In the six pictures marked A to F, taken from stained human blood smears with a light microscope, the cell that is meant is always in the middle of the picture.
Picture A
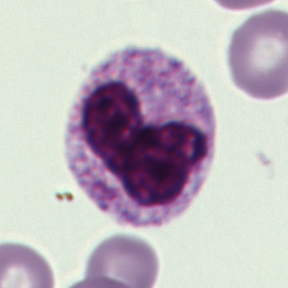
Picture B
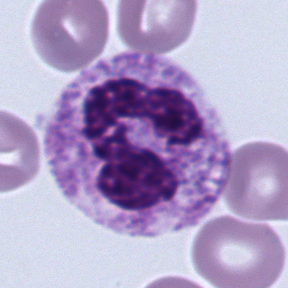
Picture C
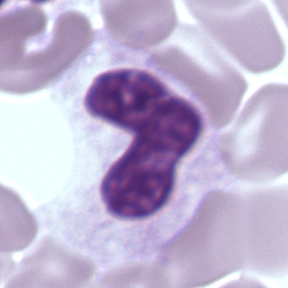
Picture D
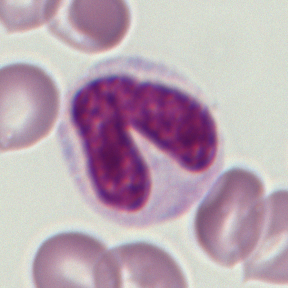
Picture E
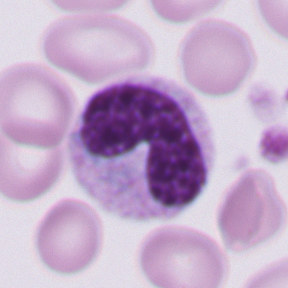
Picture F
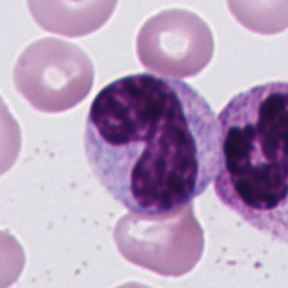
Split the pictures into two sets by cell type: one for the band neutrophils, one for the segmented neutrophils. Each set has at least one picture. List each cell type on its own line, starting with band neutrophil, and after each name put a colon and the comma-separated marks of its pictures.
band neutrophil: C, D, E, F
segmented neutrophil: A, B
